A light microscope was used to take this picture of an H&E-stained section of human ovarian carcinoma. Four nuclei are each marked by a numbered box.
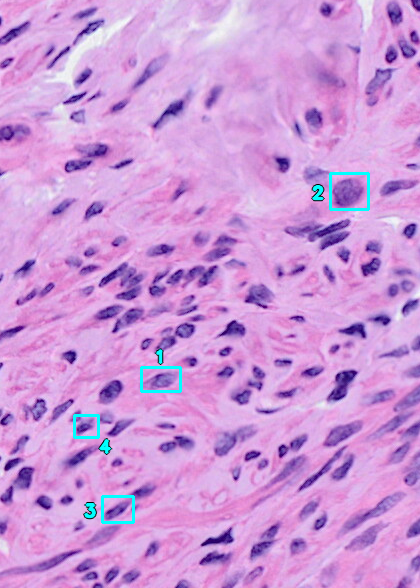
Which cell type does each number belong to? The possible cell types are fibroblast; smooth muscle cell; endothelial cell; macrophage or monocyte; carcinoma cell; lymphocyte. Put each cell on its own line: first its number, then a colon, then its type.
1: smooth muscle cell
2: endothelial cell
3: smooth muscle cell
4: smooth muscle cell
